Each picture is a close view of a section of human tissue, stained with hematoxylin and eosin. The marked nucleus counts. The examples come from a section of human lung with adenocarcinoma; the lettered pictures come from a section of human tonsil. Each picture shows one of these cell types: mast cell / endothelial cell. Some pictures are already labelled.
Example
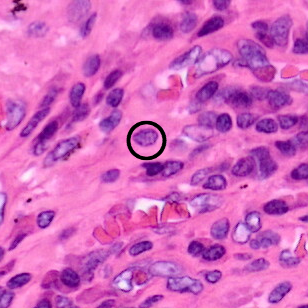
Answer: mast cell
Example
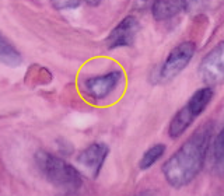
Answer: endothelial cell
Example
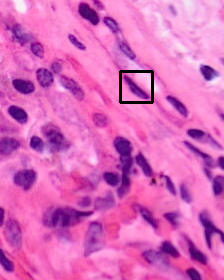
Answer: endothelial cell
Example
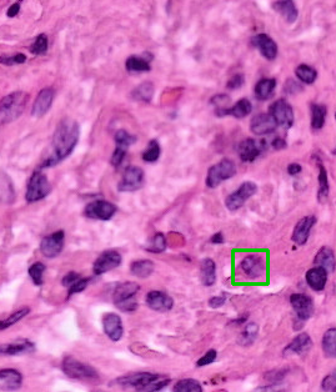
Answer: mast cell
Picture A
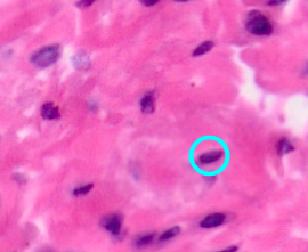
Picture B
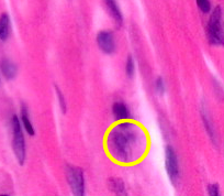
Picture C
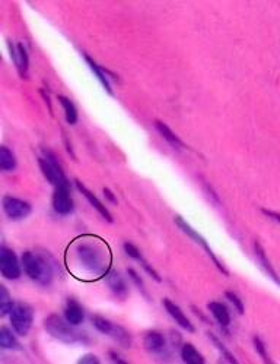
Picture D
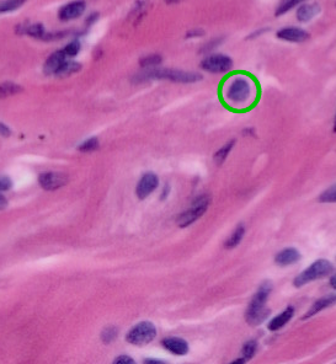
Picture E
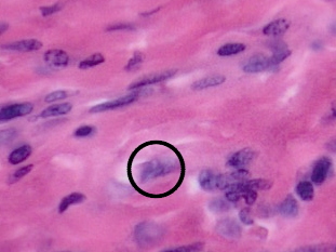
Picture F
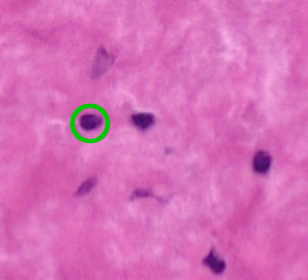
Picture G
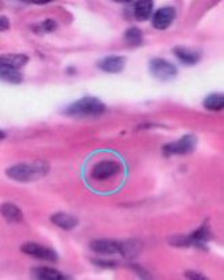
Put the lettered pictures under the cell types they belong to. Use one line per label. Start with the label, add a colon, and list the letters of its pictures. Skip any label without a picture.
mast cell: A, D, F, G
endothelial cell: B, C, E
